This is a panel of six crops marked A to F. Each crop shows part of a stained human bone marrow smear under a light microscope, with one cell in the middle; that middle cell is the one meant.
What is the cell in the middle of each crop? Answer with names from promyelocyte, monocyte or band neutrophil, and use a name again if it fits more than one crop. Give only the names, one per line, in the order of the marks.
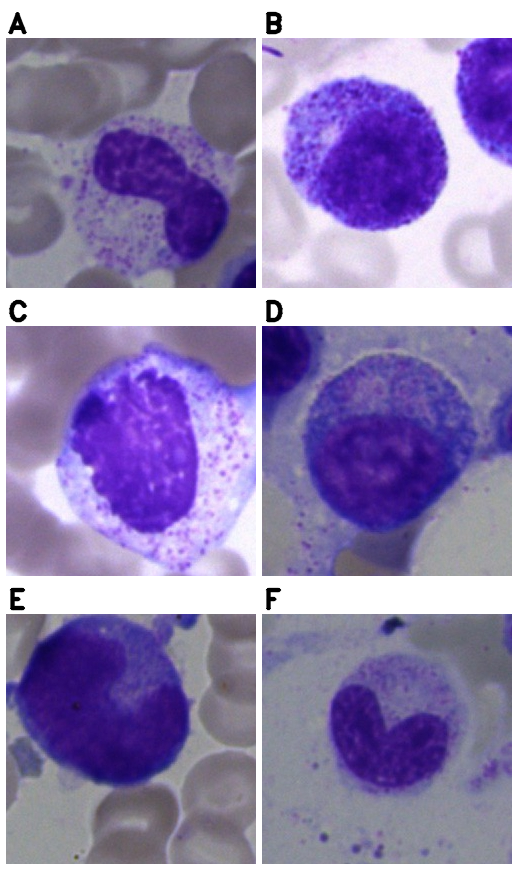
band neutrophil
promyelocyte
promyelocyte
promyelocyte
monocyte
band neutrophil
